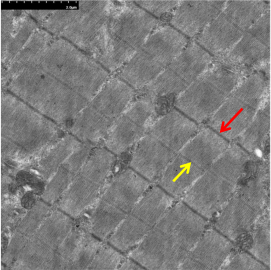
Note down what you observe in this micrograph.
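Skeletal muscle fibre in longitudinal section with myofibrils running in parallel and regular sarcomeres. Dark thin Z-lines cross the fibre at even intervals and line up across neighbouring myofibrils. Small dark mitochondria sit between myofibrils near the Z-lines.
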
